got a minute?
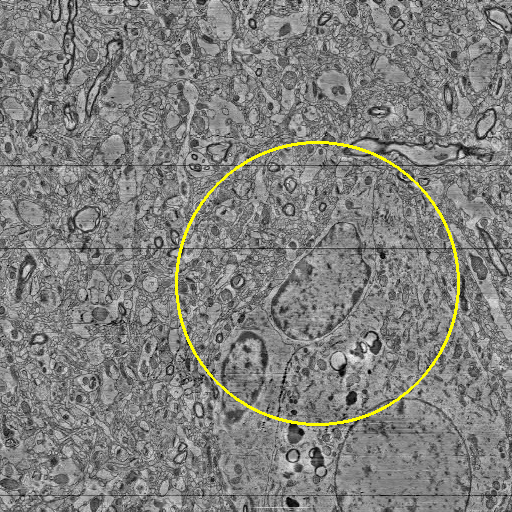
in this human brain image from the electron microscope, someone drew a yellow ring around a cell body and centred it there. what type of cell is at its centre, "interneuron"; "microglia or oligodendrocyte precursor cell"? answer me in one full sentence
It's a microglial cell or oligodendrocyte precursor cell at the middle of that yellow ring in the shot.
